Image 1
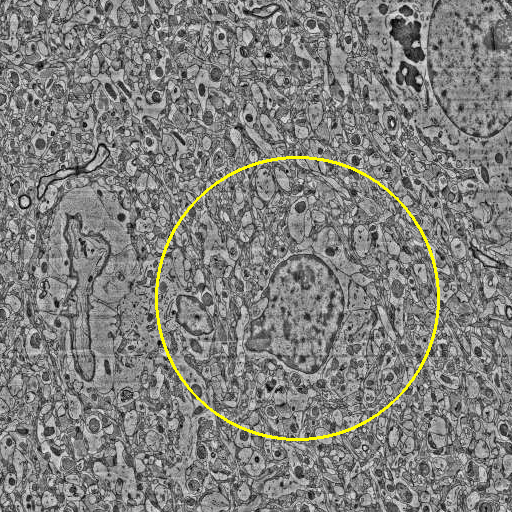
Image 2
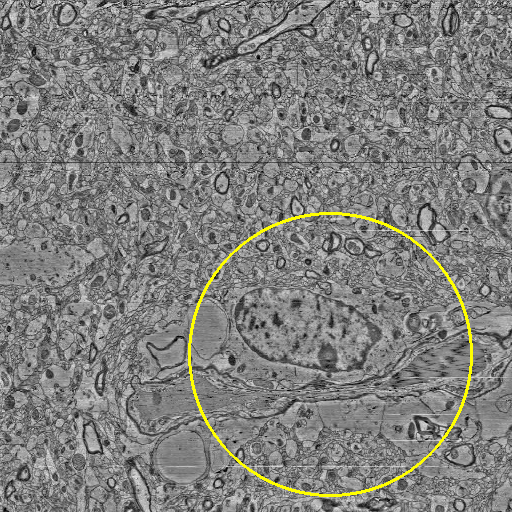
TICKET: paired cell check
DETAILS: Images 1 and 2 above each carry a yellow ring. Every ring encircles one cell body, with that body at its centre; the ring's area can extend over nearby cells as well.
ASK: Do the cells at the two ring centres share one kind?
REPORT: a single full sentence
Yes, the ring-centre cells of Images 1 and 2 belong to a single kind.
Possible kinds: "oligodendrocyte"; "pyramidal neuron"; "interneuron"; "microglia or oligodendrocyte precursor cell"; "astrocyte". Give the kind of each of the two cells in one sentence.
Both pictures show a microglial cell or oligodendrocyte precursor cell at the centre of the ring.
